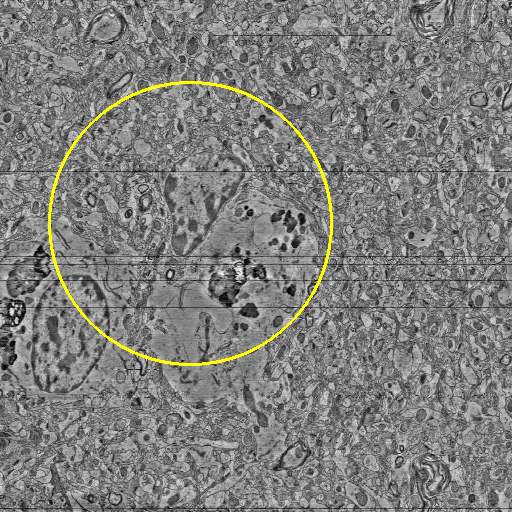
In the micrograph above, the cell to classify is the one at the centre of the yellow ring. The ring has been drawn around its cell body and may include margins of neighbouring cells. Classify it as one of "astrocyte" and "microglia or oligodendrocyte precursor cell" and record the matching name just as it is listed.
microglia or oligodendrocyte precursor cell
